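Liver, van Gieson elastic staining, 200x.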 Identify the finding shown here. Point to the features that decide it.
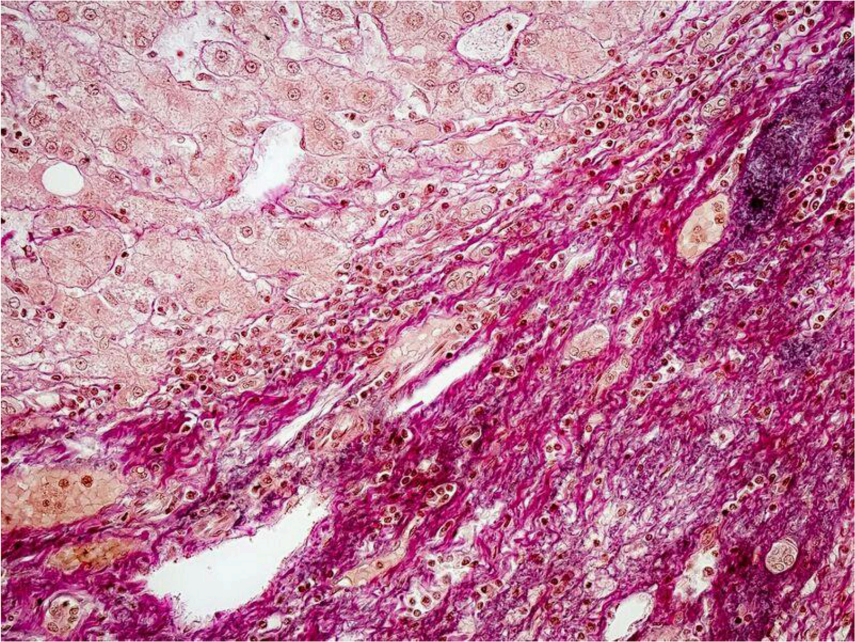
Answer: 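Periportal fibrosis. Dense magenta fibrous tissue fills the lower right. Small vessels and scattered nuclei lie within the fibrous tissue. Liver cell plates border the fibrous tissue at the upper left.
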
